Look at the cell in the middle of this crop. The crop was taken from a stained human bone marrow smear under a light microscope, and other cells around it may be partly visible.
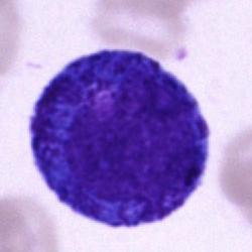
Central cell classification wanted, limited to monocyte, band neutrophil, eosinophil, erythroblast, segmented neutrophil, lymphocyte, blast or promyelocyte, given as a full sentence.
The cell that lies at the centre of the crop is a promyelocyte.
